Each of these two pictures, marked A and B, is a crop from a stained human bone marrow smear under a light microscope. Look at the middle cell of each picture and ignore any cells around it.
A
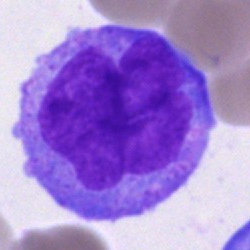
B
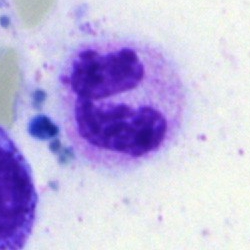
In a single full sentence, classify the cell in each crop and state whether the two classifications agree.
No, crop A is of a monocyte, and crop B is of a segmented neutrophil.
